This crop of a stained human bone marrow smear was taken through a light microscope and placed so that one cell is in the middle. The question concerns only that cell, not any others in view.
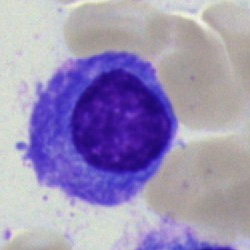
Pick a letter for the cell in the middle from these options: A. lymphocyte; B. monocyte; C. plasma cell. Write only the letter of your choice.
C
